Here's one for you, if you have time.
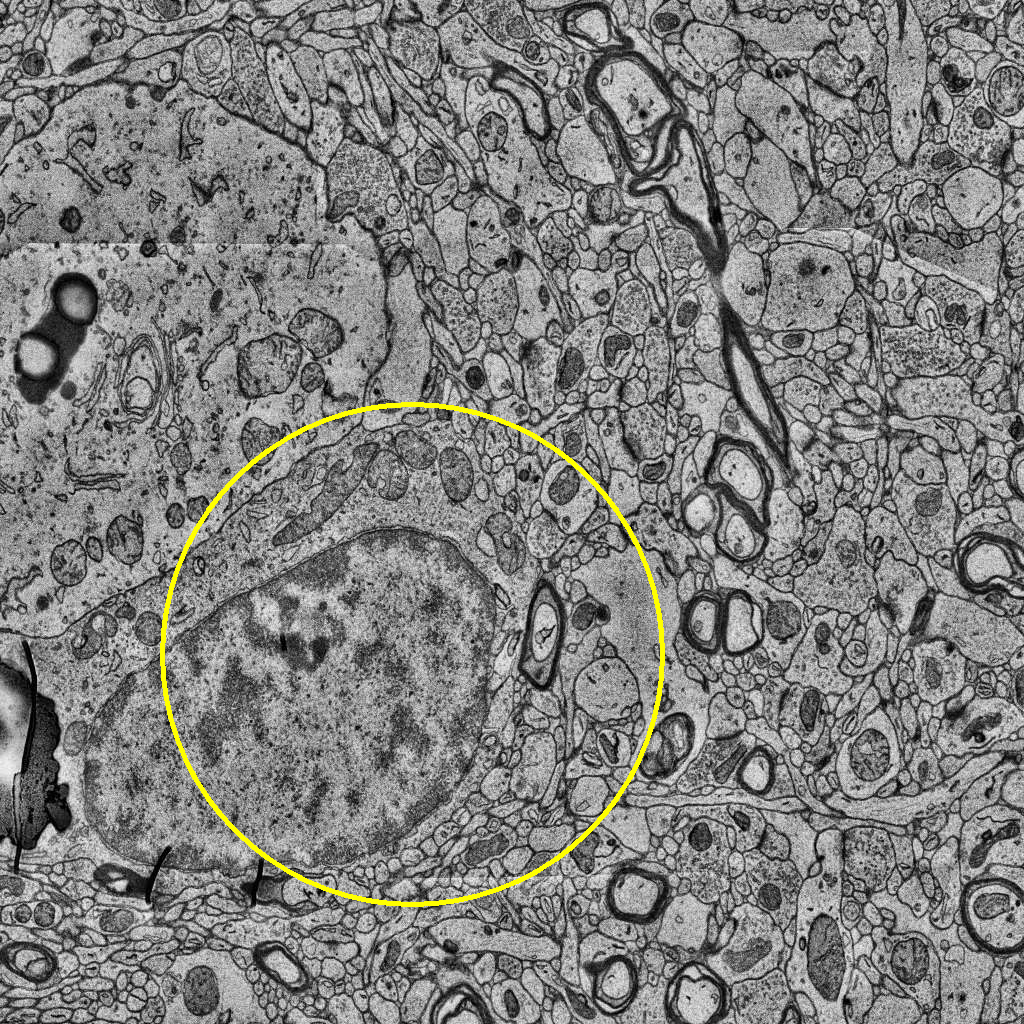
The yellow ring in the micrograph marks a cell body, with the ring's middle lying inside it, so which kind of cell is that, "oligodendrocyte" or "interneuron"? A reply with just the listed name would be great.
oligodendrocyte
